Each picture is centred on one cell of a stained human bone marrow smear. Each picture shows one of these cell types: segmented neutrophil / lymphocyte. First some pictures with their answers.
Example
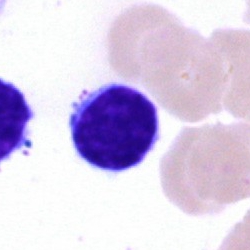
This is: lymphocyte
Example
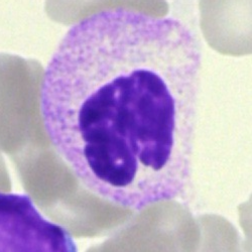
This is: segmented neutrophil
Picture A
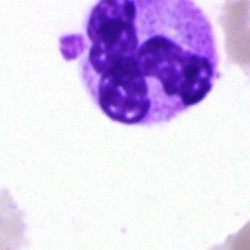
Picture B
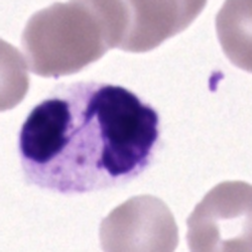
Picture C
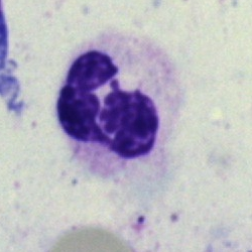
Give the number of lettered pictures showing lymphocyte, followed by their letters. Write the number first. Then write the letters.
0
